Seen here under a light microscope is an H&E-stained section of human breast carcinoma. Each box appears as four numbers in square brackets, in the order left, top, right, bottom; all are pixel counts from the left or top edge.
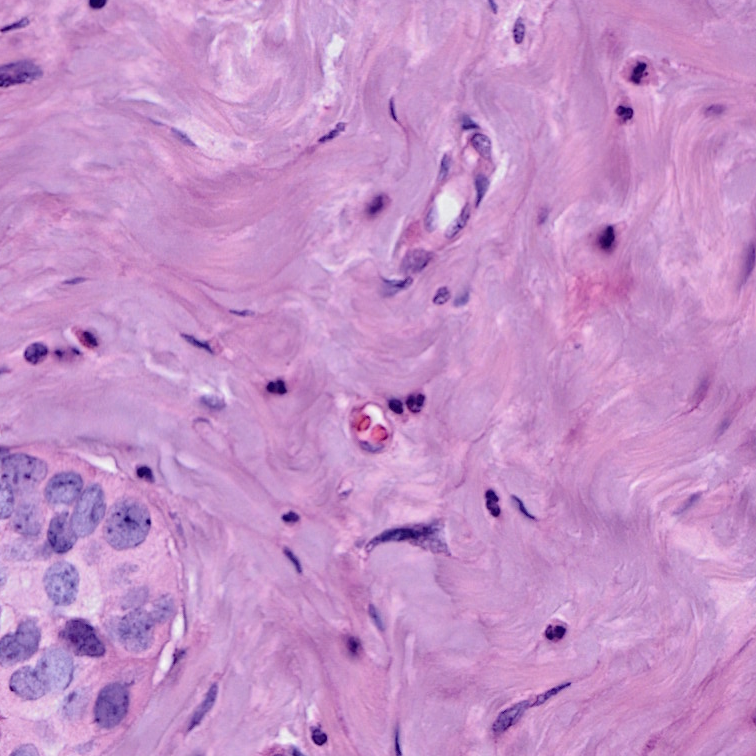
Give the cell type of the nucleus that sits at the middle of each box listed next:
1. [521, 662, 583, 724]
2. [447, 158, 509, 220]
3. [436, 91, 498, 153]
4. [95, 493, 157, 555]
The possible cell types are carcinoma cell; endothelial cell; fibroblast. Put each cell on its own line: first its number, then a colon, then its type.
1: fibroblast
2: fibroblast
3: fibroblast
4: carcinoma cell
